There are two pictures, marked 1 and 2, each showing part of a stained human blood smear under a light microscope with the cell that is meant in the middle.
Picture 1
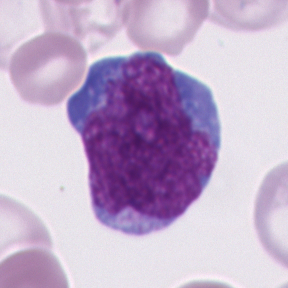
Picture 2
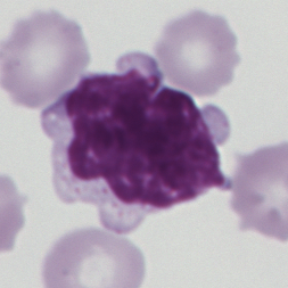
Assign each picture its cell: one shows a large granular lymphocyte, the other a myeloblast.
1: myeloblast
2: large granular lymphocyte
